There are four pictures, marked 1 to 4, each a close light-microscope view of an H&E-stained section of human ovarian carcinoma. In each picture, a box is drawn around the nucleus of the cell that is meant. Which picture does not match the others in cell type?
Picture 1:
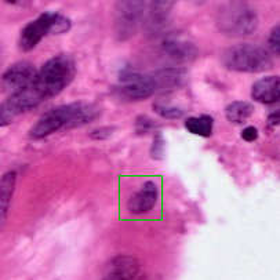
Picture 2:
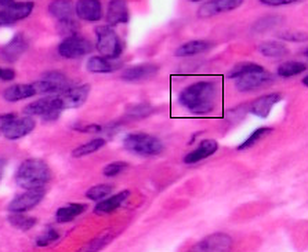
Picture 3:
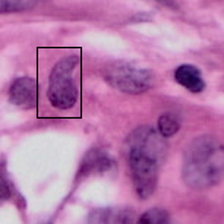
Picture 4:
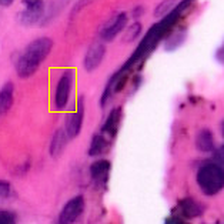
4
